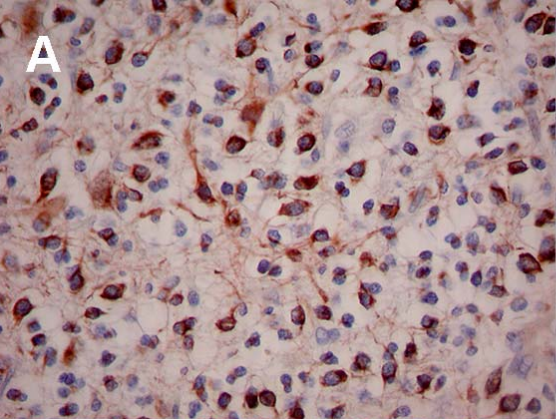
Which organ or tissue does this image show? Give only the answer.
oligodendrogliomas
